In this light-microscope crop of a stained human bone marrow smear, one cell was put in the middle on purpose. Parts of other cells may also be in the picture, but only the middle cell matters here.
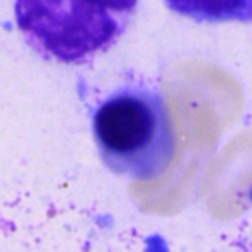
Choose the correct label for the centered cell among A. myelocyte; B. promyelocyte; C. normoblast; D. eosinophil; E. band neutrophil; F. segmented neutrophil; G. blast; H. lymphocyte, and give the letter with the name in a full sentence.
The correct response is option C, naming the cell in the middle as a normoblast.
